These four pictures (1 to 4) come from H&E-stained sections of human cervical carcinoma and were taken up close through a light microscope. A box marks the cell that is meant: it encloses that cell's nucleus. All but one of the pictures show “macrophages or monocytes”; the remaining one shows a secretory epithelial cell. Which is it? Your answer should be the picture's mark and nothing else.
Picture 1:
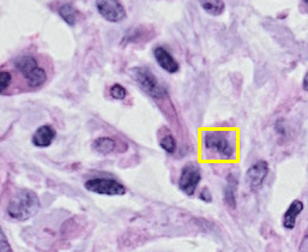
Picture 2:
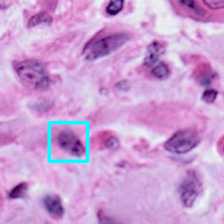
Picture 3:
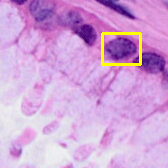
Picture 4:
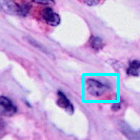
3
